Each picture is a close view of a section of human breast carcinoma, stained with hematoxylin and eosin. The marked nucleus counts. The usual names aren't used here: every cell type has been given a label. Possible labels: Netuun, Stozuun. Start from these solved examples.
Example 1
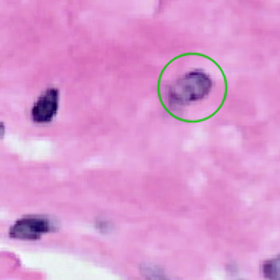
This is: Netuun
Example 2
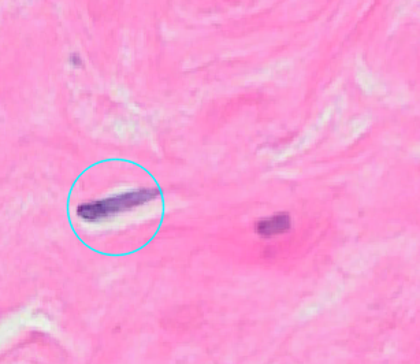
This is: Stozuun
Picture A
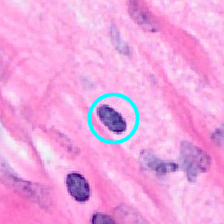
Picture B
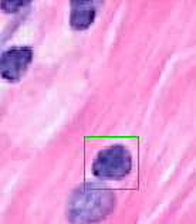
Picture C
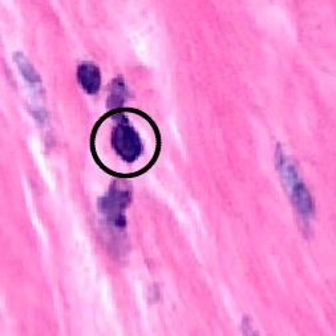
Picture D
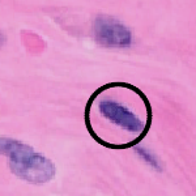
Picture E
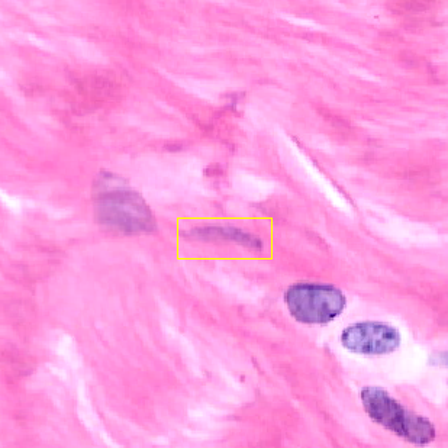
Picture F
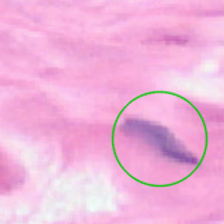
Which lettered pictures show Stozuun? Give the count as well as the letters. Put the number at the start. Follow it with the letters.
2, namely E, F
